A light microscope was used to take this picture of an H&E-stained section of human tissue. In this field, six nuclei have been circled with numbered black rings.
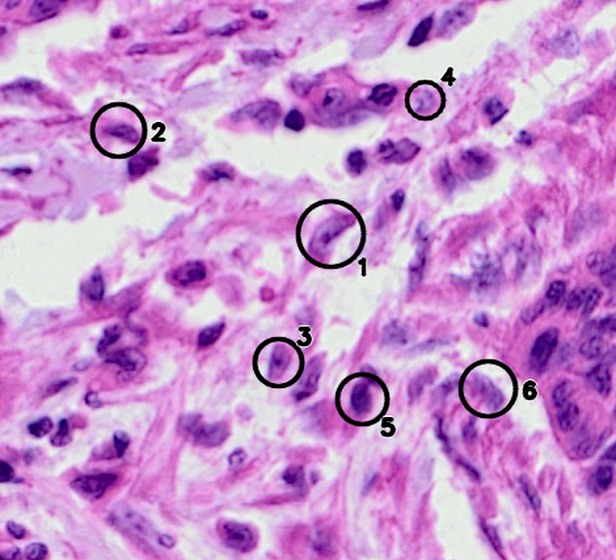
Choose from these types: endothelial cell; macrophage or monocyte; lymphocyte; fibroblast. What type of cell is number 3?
fibroblast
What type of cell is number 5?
lymphocyte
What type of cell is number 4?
macrophage or monocyte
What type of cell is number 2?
macrophage or monocyte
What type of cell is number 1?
fibroblast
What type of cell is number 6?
fibroblast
